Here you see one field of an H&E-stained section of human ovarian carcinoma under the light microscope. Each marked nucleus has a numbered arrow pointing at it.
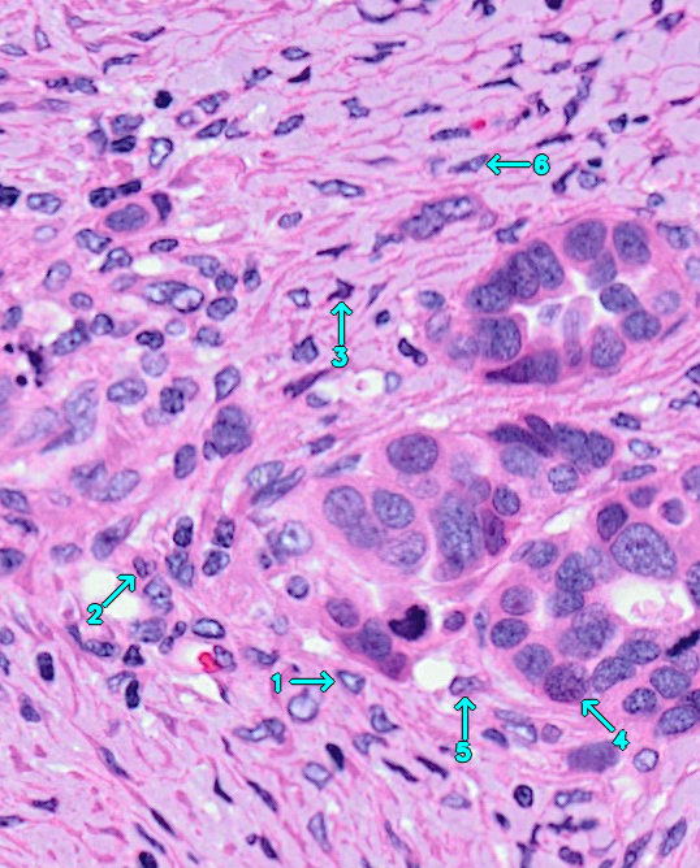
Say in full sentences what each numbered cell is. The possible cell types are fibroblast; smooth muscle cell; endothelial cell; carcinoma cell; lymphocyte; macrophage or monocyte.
Cell 1 is a fibroblast, cell 2 is an endothelial cell, cell 3 is a fibroblast, cell 4 is a carcinoma cell, cell 5 is a fibroblast and cell 6 is a fibroblast.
